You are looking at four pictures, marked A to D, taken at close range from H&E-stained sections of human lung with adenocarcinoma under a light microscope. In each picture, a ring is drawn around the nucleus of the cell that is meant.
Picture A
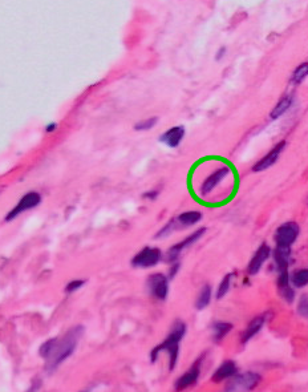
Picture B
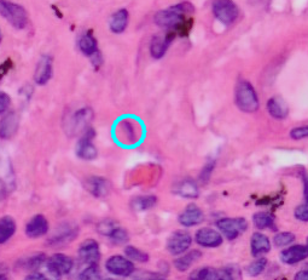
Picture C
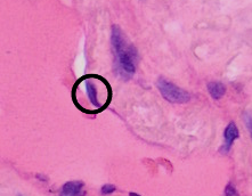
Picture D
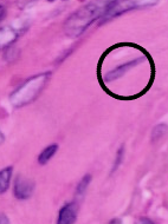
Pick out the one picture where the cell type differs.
D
